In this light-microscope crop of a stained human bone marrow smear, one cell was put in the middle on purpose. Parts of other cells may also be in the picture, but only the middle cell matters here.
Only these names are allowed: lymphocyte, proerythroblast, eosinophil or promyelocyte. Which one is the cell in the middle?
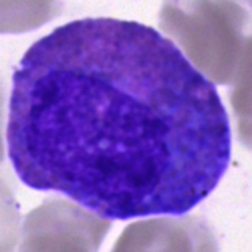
eosinophil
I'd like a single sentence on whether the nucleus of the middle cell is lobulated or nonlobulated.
The nucleus holds together as a single compact mass, round, oval or kidney-like.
